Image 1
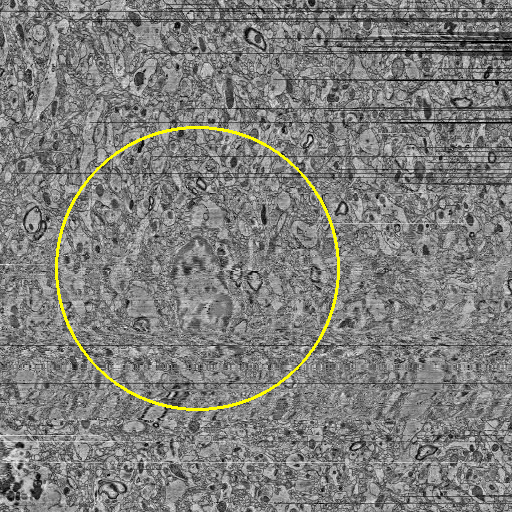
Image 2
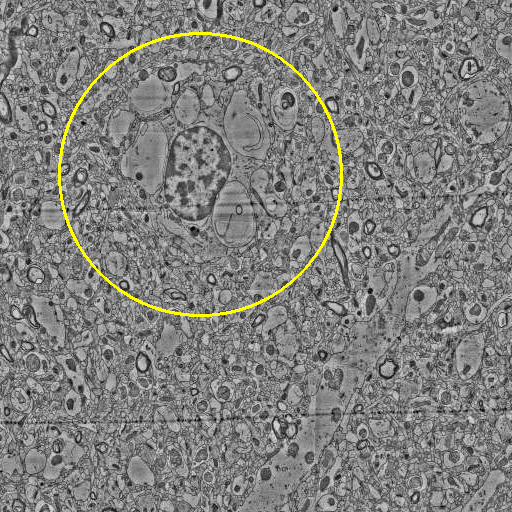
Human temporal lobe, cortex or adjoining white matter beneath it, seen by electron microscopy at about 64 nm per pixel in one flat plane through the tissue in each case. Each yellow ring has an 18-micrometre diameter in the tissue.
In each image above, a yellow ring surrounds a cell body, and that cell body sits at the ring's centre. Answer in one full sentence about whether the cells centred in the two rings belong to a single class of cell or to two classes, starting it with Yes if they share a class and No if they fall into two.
Yes, the cells centred in the two yellow rings belong to a single class of cell.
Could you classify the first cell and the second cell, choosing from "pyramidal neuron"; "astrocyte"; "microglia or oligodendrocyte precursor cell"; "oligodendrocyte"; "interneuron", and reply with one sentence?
Both cells are the same kind, each one being a microglial cell or oligodendrocyte precursor cell.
